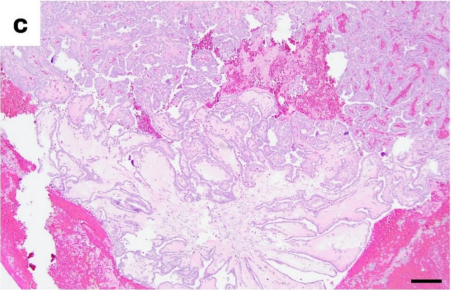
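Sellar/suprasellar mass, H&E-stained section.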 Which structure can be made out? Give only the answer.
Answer: Papillary architecture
